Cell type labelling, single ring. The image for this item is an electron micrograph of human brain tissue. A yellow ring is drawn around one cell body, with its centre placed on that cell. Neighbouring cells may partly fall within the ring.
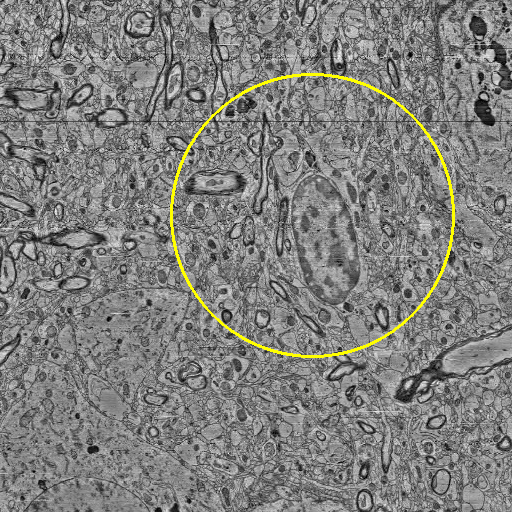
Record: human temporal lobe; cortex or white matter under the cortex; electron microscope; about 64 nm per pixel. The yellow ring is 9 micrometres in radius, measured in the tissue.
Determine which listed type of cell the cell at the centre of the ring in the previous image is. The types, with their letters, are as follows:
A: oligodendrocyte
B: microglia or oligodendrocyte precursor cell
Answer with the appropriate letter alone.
B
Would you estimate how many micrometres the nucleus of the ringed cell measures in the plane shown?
The nucleus of the ringed cell is clearly longer than it is wide in this plane, about 8 by 4 micrometres.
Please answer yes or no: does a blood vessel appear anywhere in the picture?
No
